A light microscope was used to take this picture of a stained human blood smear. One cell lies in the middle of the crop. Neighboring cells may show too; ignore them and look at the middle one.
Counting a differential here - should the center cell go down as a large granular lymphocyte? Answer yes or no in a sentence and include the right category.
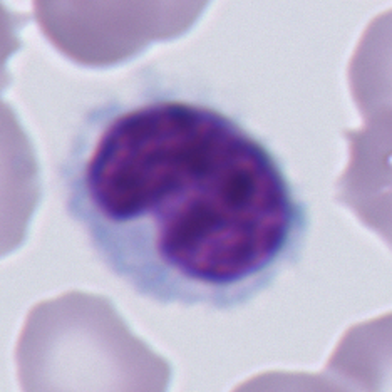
No, instead of a large granular lymphocyte, the centred cell represents a hairy cell.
